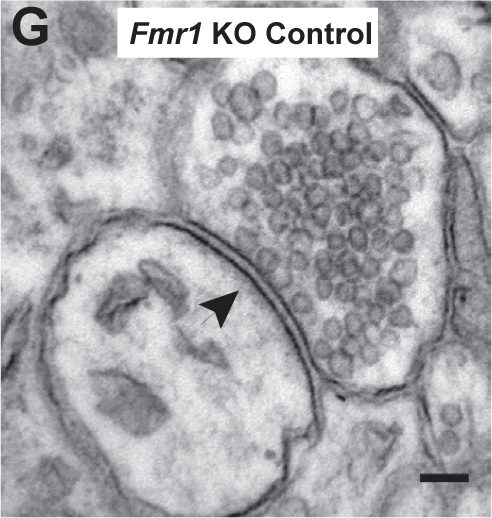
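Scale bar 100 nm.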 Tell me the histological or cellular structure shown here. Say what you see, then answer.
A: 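Synapses. A membrane-bound profile densely packed with small round clear vesicles. The vesicle-filled profile is apposed to a neighbouring profile across a thickened, dense membrane contact.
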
